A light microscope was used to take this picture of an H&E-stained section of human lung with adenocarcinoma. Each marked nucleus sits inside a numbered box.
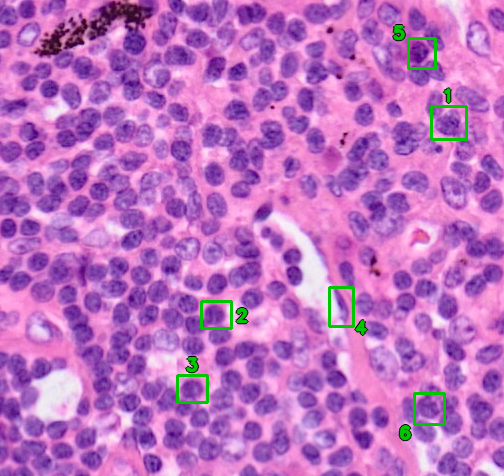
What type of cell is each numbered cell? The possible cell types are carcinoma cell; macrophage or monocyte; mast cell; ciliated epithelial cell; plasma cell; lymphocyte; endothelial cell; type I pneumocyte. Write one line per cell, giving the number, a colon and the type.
1: lymphocyte
2: lymphocyte
3: lymphocyte
4: endothelial cell
5: plasma cell
6: lymphocyte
